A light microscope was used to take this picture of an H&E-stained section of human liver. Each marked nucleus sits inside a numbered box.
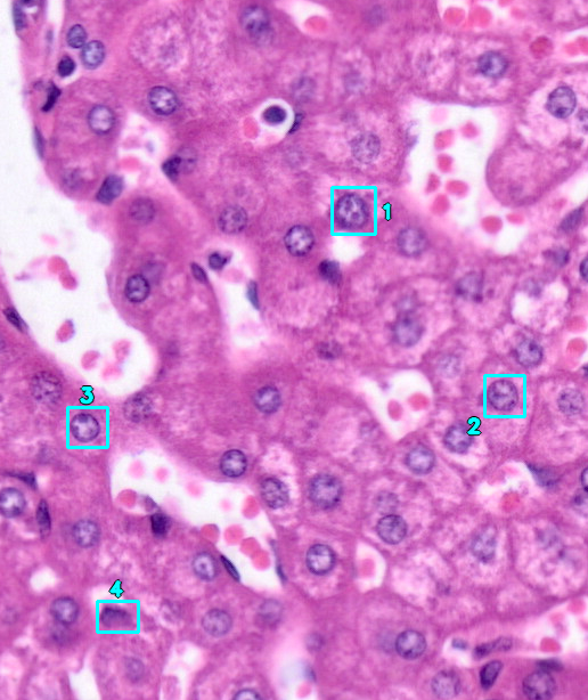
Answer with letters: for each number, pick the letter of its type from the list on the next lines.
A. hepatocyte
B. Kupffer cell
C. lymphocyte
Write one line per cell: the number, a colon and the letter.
1: A
2: A
3: A
4: B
